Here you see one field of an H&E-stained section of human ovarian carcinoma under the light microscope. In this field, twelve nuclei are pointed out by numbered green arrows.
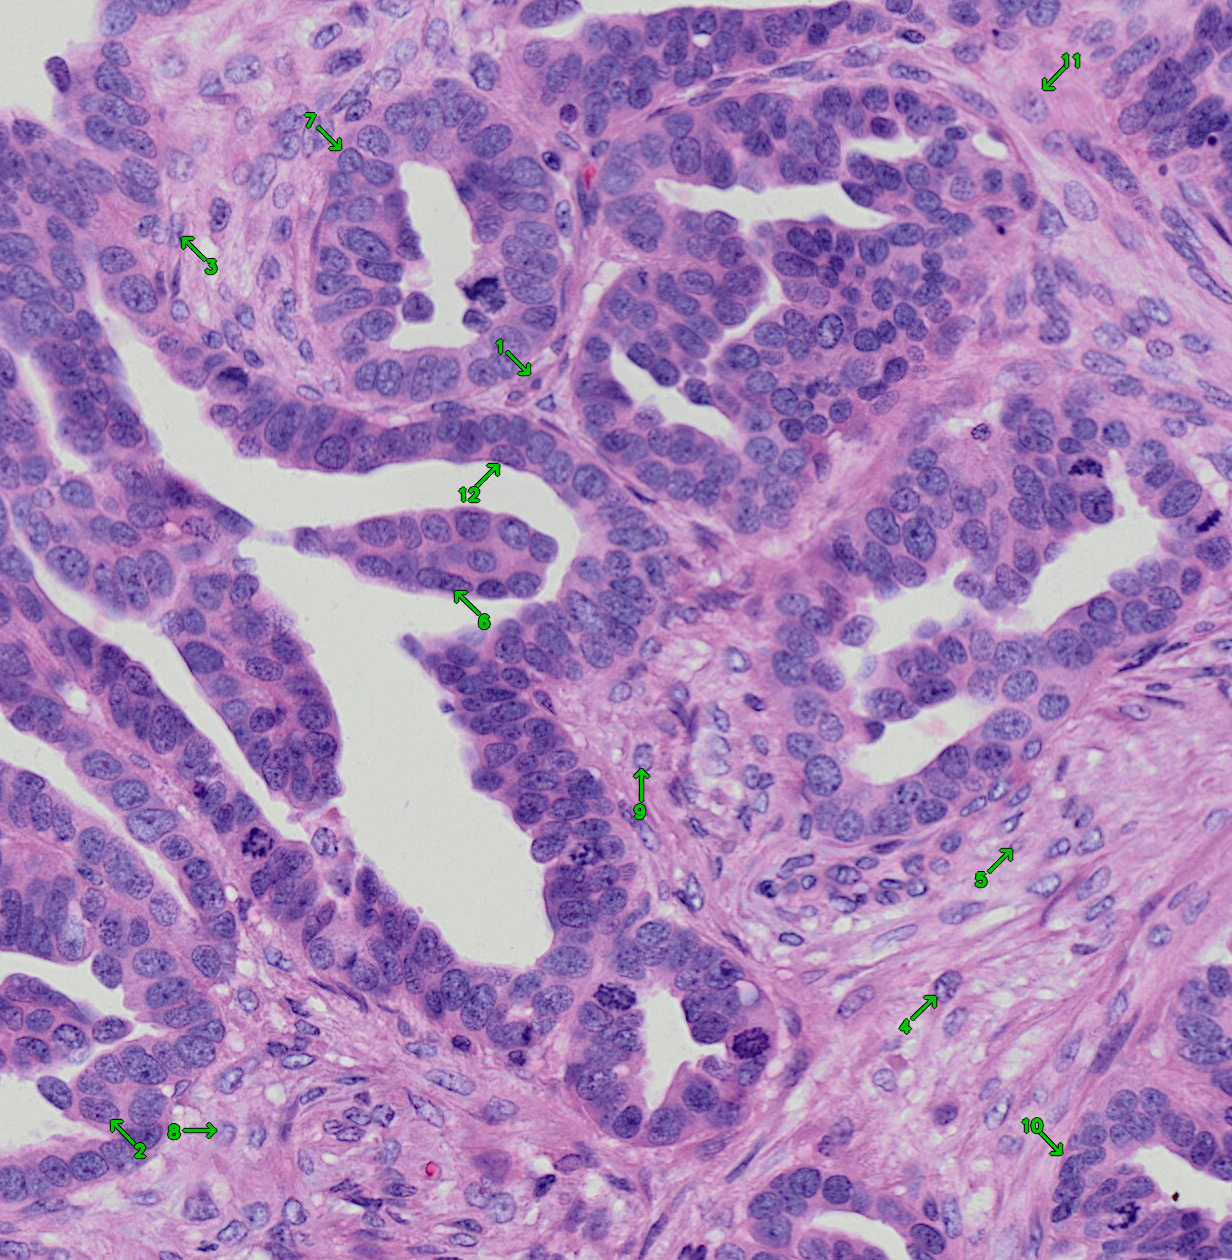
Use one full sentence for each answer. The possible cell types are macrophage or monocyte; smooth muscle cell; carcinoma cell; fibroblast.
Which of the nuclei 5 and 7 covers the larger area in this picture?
Nucleus 7 is the larger one, covering about 3 times the area of nucleus 5.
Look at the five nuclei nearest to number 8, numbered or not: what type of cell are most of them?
Fibroblasts account for more than half of the five nuclei nearest to number 8.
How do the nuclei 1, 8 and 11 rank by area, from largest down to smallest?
The nuclei rank 11, 8, 1, from largest to smallest.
